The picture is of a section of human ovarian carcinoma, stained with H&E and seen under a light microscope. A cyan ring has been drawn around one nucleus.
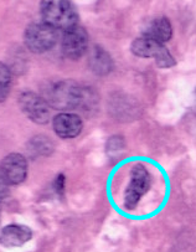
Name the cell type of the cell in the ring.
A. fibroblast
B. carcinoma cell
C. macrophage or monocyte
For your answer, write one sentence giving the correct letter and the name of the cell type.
Given that the cell in the ring is a macrophage or monocyte, option C is the correct one.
